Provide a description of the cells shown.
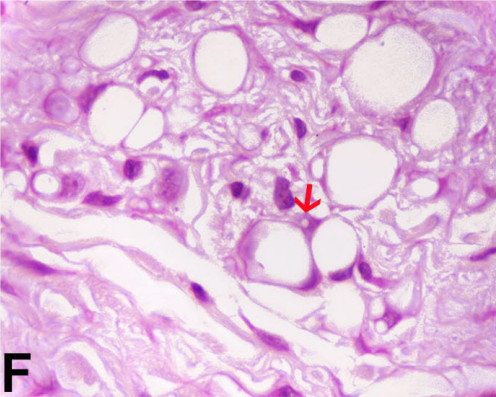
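At high power, cells with one or several clear round vacuoles lie in a loose pale-pink fibrous background, and several dark purple nuclei are pushed aside or indented by these vacuoles. The nucleus at the red arrow shows a sharply outlined clear hole. These are uni- or multivacuolated lipoblast-like cells, and the holed nucleus is a Lochkern change.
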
